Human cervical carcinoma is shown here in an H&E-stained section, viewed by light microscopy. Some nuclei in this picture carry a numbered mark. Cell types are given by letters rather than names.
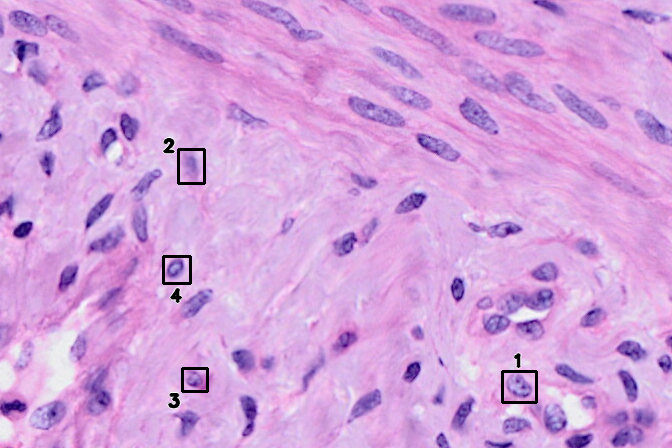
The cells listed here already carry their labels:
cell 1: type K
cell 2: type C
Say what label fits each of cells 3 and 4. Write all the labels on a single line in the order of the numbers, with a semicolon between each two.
type C; type C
